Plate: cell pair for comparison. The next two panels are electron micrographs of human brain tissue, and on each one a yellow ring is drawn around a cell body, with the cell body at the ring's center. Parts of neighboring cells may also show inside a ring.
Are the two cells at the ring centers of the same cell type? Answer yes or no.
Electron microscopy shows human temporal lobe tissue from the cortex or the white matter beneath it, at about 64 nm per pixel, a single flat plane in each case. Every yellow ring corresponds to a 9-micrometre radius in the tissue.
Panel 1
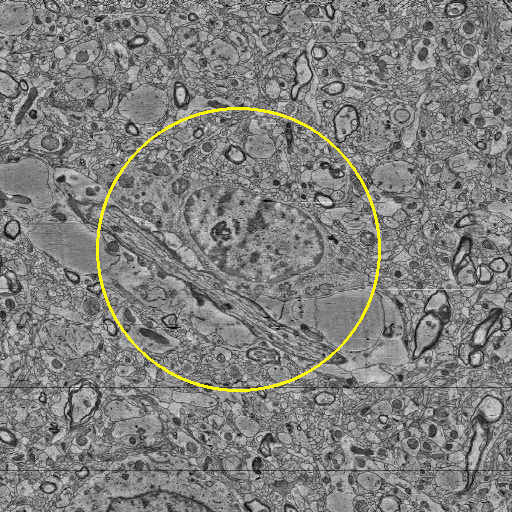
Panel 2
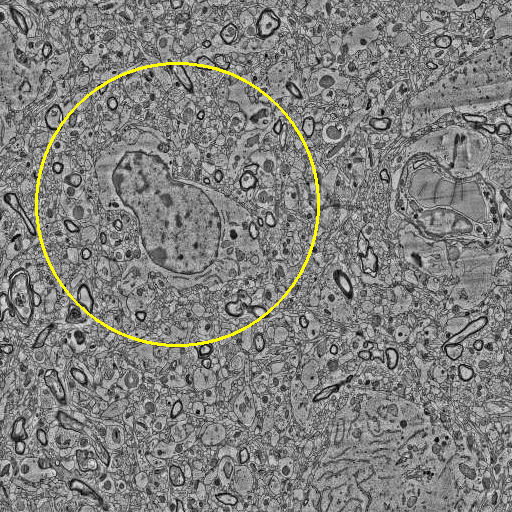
no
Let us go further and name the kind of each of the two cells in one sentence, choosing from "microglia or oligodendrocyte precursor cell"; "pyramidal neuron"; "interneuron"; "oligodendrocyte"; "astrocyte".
The ring of the first picture is on an oligodendrocyte, the ring of the second on a microglial cell or oligodendrocyte precursor cell.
